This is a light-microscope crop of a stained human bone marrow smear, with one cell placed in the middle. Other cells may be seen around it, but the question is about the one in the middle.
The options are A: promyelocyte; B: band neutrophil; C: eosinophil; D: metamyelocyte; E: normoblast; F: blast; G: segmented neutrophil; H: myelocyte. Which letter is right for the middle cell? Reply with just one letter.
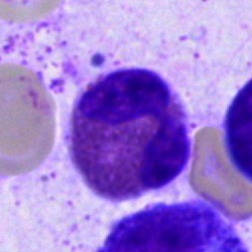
C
